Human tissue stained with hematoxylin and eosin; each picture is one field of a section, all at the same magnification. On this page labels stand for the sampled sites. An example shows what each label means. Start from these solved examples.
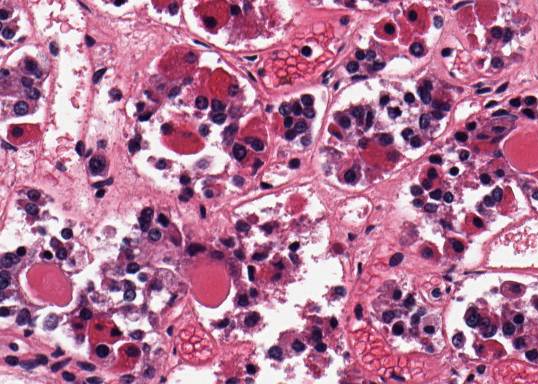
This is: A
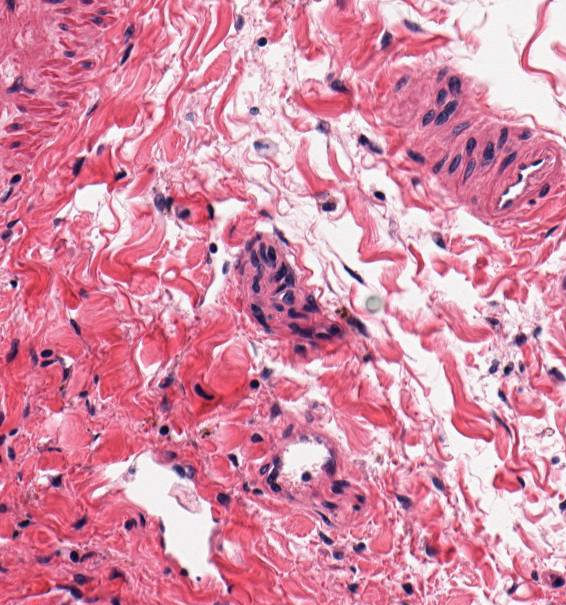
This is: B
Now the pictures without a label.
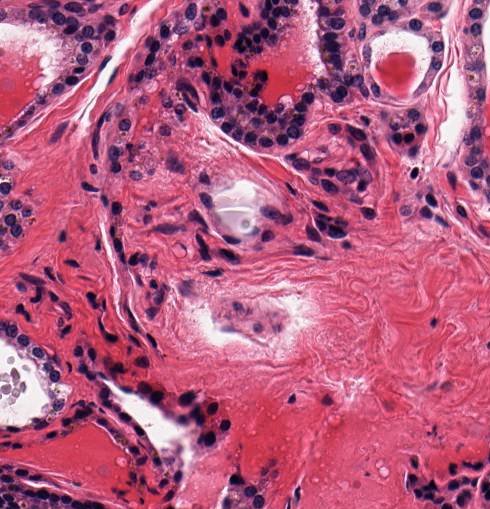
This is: B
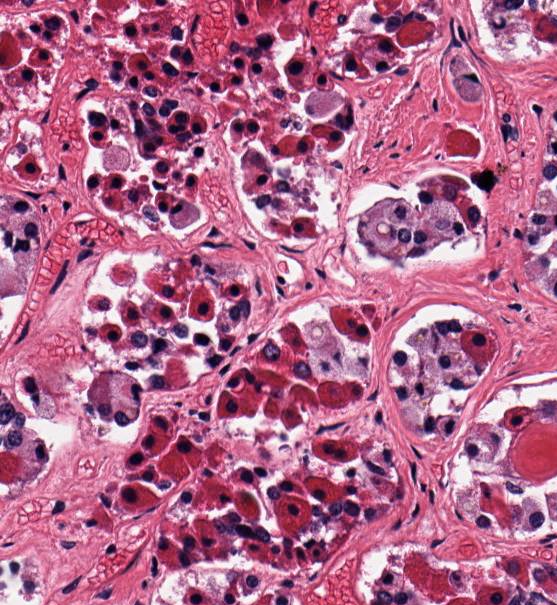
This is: A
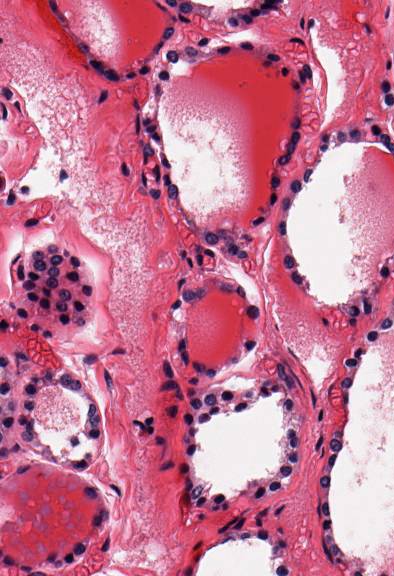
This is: B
